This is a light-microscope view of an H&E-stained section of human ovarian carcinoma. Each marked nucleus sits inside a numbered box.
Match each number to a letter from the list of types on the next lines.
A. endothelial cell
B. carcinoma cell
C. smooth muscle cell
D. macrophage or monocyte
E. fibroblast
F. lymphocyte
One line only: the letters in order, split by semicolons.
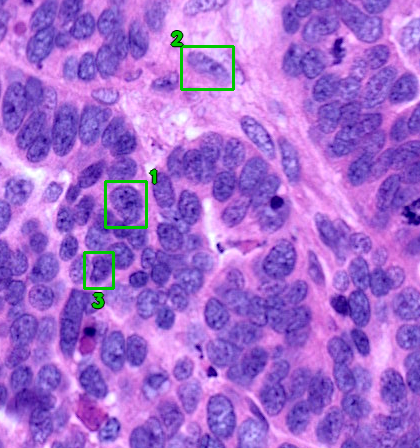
B; E; B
